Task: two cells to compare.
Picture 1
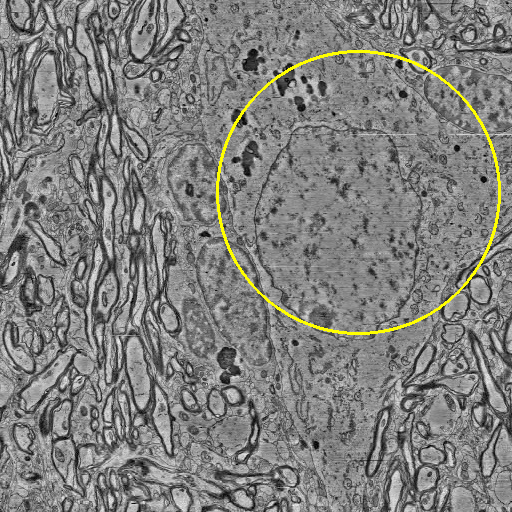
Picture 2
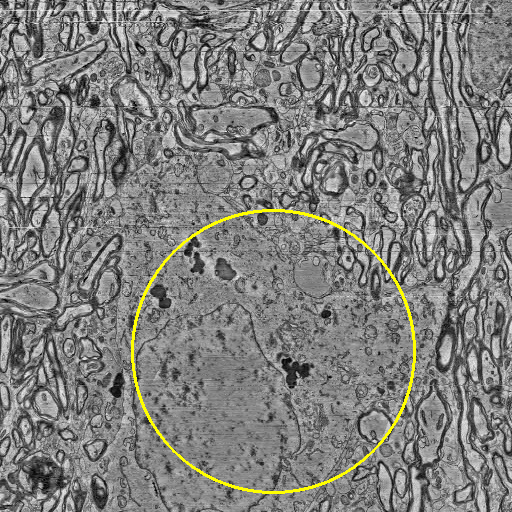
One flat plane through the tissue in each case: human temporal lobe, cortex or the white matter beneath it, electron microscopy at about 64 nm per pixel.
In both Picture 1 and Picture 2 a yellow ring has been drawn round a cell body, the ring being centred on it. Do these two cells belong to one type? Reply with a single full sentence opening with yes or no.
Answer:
Yes, the two cells at the ring centres in Picture 1 and Picture 2 share one type.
